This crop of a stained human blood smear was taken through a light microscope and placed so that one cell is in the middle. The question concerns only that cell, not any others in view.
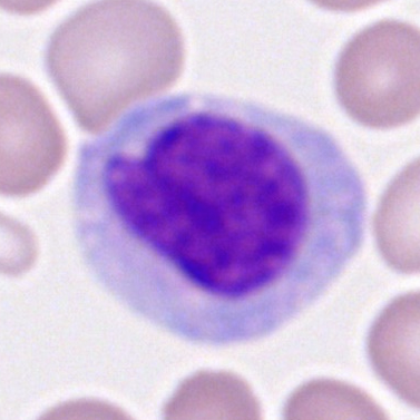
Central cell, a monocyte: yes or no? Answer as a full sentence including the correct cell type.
Yes, the cell of interest in the centre is a monocyte.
